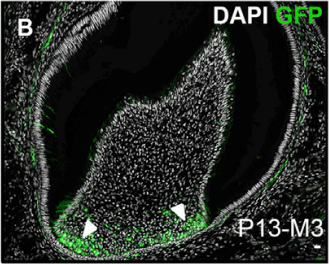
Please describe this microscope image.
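This is a developing molar seen in section, with a crown-shaped mass of pulp cells enclosed by a thin epithelial layer. The pulp is filled with densely packed small nuclei shown in white. The epithelium forms a sharp bright line of tightly lined-up nuclei around the crown.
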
